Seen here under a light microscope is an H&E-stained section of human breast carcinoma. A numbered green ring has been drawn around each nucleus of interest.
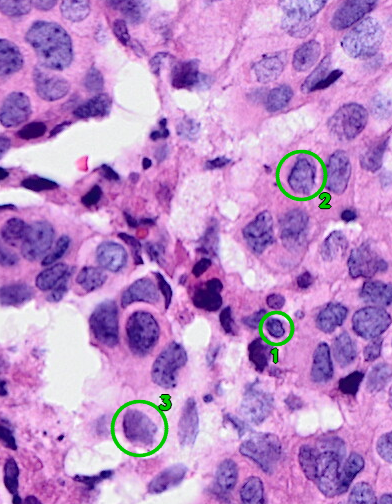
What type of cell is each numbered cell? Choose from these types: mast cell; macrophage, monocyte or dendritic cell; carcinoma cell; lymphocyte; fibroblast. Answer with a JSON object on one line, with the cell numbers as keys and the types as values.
{"1": "lymphocyte", "2": "carcinoma cell", "3": "carcinoma cell"}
